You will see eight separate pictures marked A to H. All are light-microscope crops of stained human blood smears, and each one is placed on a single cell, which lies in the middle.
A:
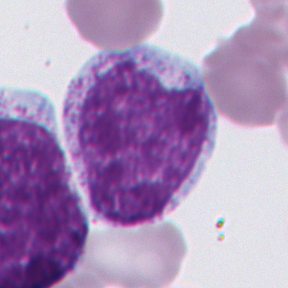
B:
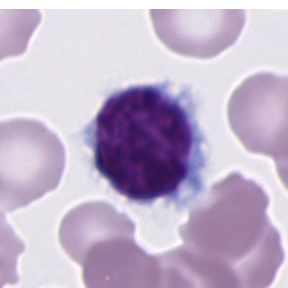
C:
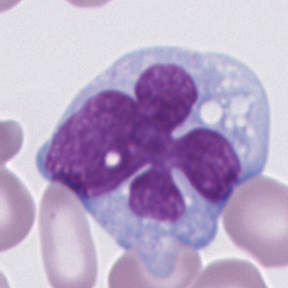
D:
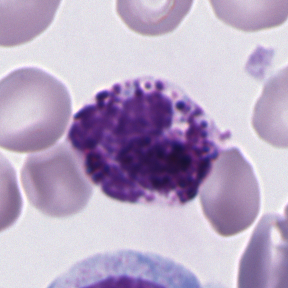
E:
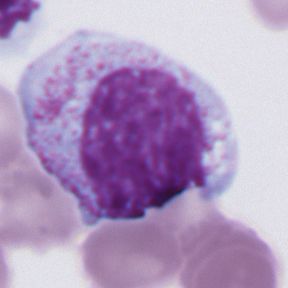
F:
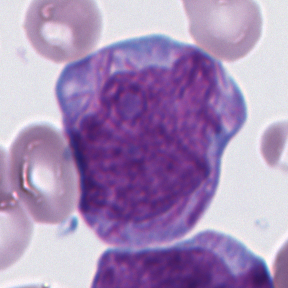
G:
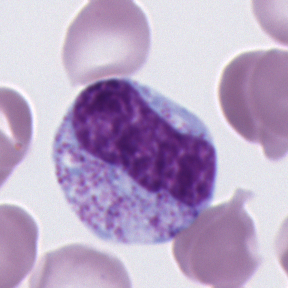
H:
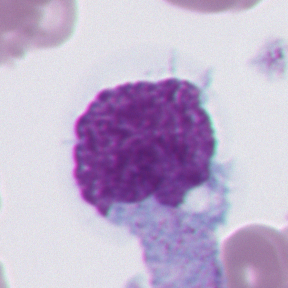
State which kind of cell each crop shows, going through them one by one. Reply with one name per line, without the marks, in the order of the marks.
myelocyte
hairy cell
monocyte
basophil
myelocyte
atypical promyelocyte
band neutrophil
monocyte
